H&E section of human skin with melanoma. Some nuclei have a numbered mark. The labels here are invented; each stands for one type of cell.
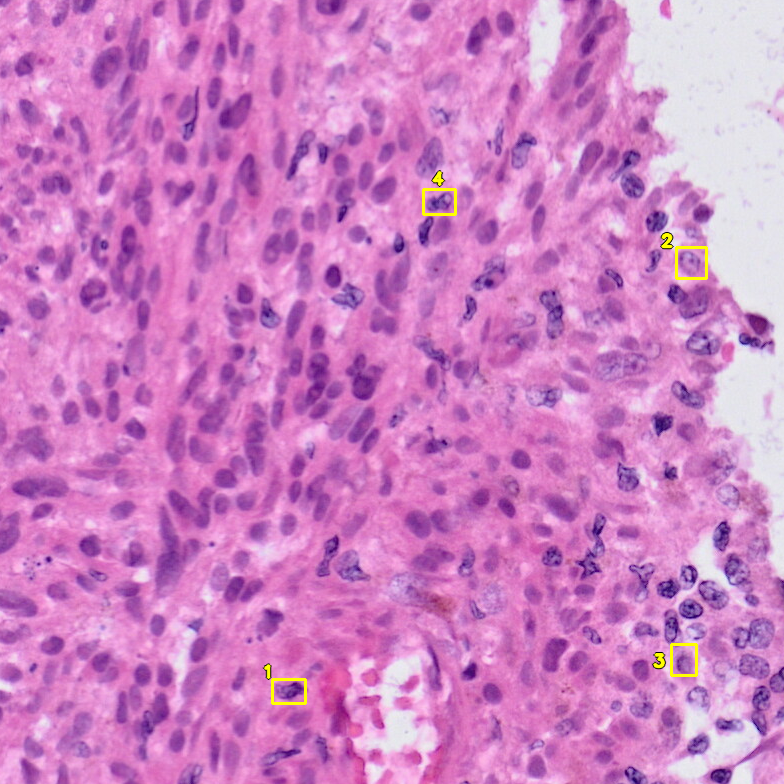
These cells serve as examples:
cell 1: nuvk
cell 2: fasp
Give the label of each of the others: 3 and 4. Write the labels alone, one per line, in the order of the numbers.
fasp
nuvk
